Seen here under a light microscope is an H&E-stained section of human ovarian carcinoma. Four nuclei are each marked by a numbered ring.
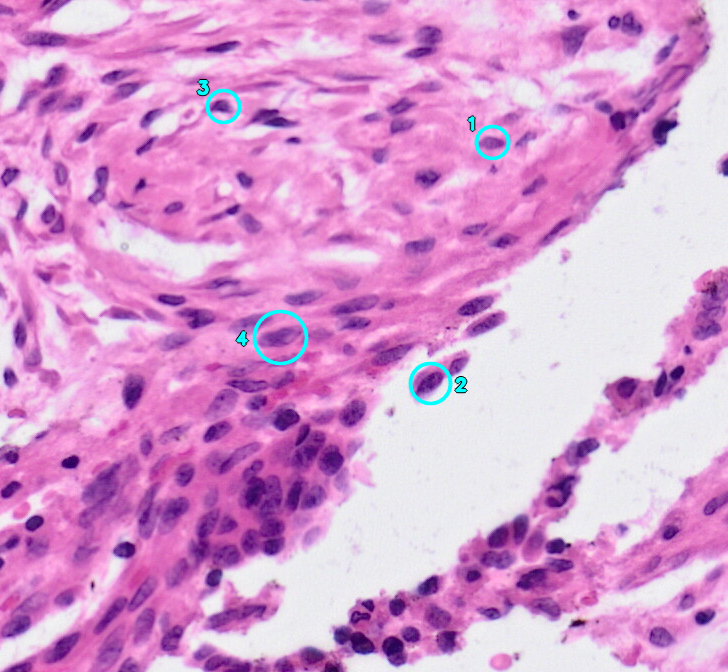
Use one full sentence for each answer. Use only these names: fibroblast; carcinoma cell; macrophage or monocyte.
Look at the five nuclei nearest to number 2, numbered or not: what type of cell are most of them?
The majority of the five nuclei closest to number 2 belong to carcinoma cells.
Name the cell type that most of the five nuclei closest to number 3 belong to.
Of the five nuclei nearest to number 3, most belong to fibroblasts.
